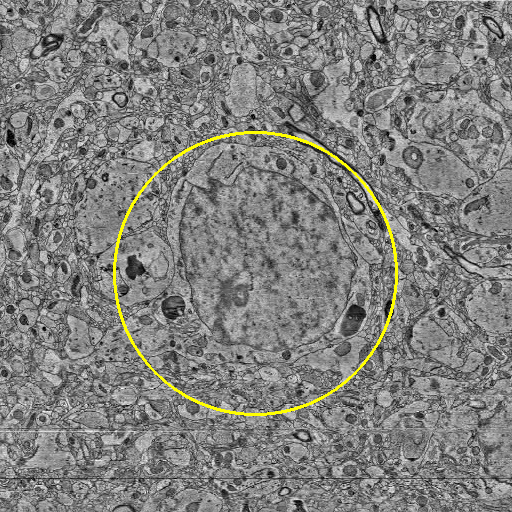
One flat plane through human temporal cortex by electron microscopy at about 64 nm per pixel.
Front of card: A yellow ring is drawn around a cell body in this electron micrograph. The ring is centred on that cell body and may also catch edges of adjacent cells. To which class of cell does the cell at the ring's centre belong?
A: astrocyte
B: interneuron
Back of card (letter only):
B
